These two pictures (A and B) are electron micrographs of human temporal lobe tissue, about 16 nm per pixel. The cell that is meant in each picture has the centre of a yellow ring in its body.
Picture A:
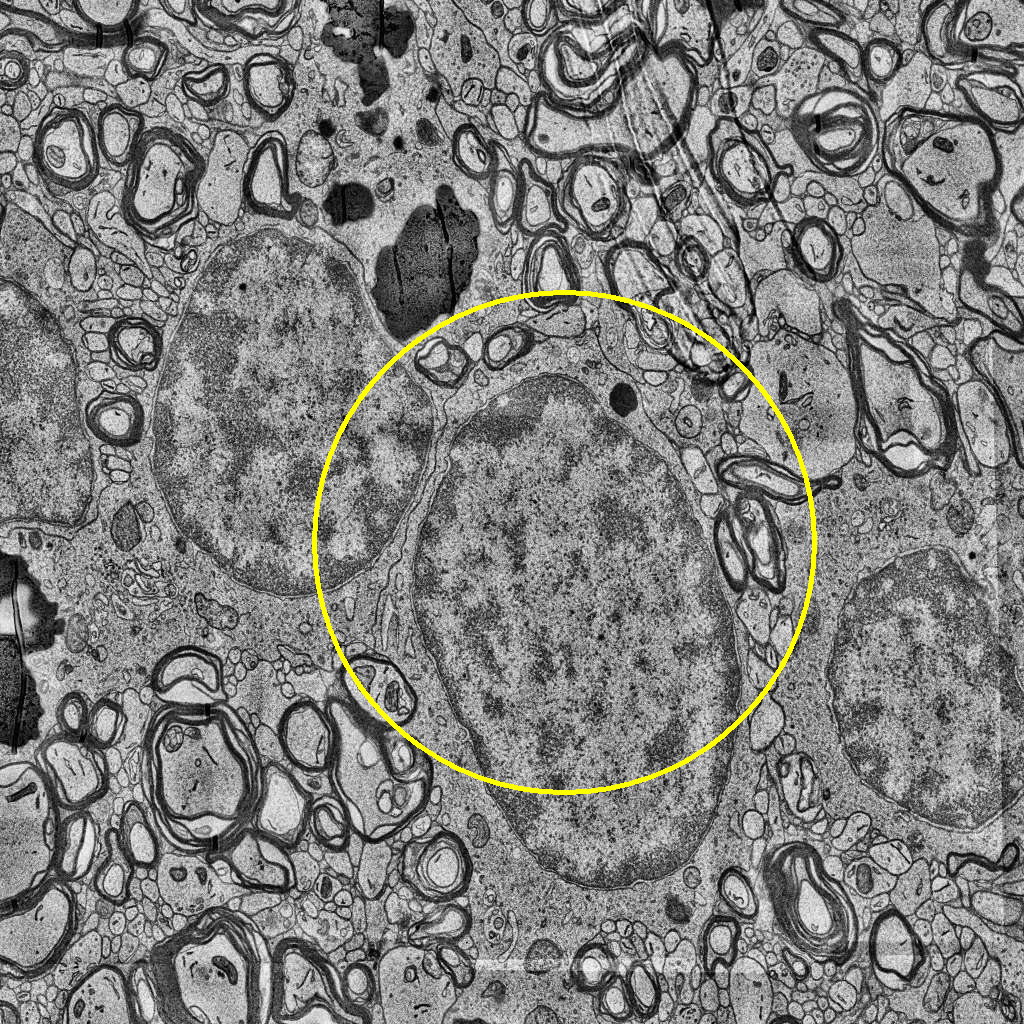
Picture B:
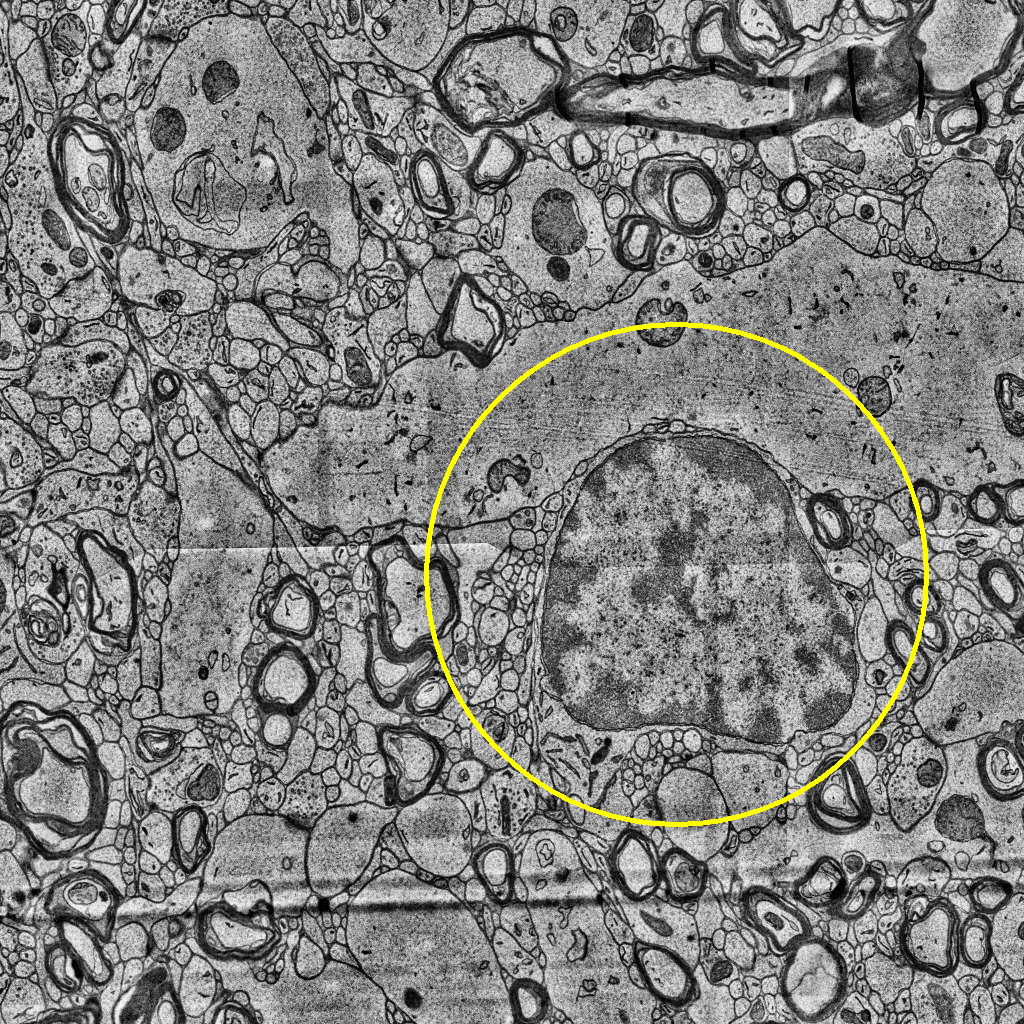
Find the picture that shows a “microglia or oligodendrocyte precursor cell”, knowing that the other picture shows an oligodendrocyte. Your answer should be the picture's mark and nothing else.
B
